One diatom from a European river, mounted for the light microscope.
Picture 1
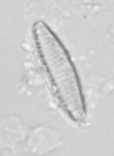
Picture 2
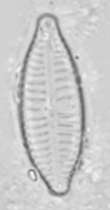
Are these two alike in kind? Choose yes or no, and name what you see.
No. First Nitzschia, second Gomphonema.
